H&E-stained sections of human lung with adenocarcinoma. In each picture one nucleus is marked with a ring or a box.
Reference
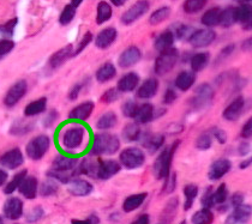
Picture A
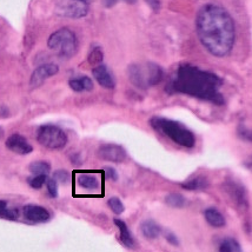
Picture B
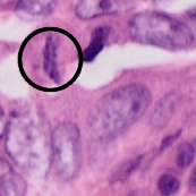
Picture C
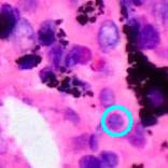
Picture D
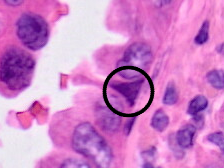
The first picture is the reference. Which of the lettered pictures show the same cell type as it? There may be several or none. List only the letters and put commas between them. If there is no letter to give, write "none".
A, C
